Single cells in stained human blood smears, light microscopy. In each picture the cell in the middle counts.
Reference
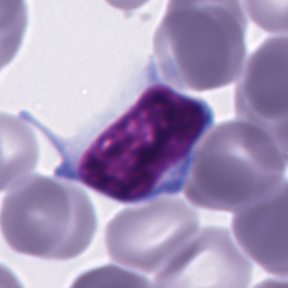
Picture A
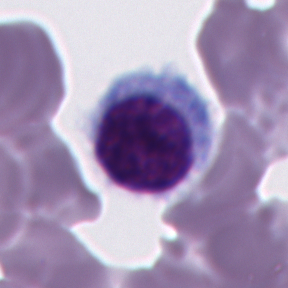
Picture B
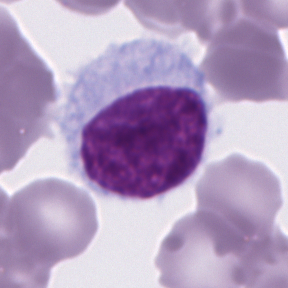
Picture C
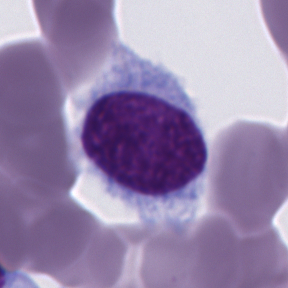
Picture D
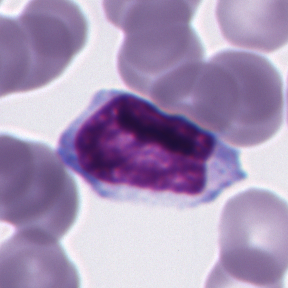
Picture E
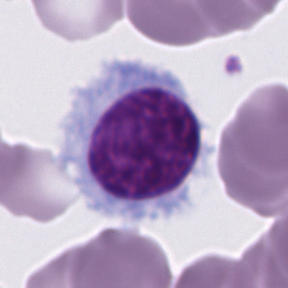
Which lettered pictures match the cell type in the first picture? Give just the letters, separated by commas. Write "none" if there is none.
D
